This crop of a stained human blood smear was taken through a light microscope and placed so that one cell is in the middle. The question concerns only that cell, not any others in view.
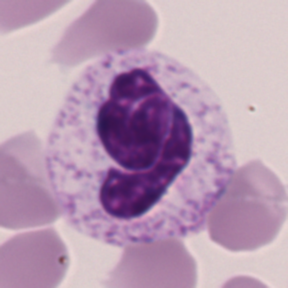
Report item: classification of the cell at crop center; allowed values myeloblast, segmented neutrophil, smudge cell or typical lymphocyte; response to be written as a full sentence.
The cell centered in this field of view is a segmented neutrophil.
